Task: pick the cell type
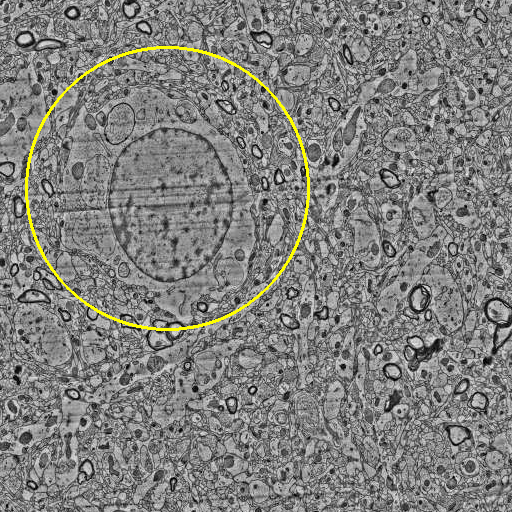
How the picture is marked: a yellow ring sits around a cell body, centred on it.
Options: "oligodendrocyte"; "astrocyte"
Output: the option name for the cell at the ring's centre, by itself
astrocyte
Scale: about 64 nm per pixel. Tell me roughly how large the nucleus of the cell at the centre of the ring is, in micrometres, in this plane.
About 10 by 8 micrometers, in this plane.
